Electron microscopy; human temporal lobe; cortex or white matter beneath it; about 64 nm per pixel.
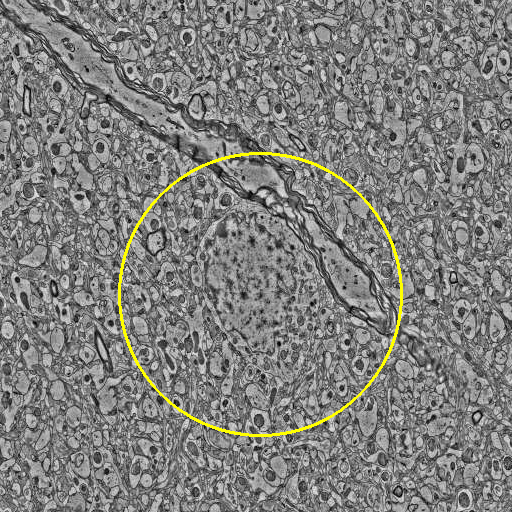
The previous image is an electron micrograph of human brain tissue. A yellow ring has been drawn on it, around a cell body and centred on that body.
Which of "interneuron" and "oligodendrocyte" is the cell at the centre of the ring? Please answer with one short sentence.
The cell body at the centre of the ring belongs to an interneuron.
